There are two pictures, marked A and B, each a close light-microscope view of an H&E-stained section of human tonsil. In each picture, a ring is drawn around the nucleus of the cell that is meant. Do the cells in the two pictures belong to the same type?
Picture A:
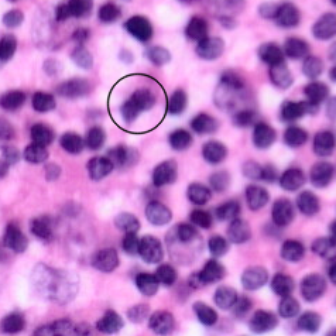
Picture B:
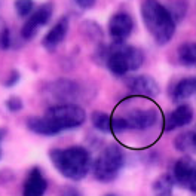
yes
